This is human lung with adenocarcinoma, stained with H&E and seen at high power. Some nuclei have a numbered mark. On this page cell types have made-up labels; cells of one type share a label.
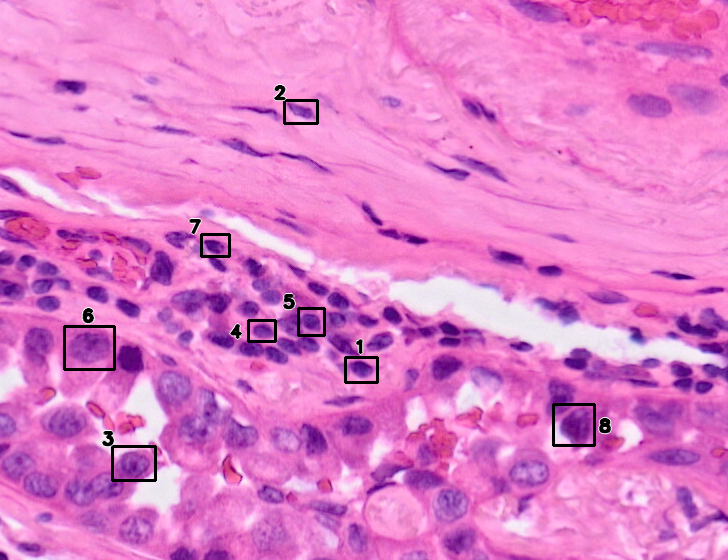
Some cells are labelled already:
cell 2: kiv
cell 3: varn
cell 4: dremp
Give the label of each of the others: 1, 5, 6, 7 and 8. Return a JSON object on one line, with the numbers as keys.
{"1": "dremp", "5": "dremp", "6": "varn", "7": "dremp", "8": "varn"}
